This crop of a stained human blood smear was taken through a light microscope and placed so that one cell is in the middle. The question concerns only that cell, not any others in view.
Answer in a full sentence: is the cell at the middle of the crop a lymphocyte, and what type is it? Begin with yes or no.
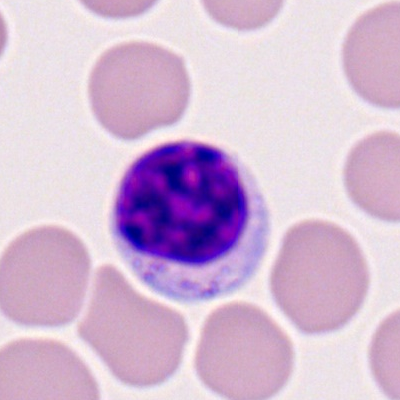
Yes, the centre of the crop holds a lymphocyte.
